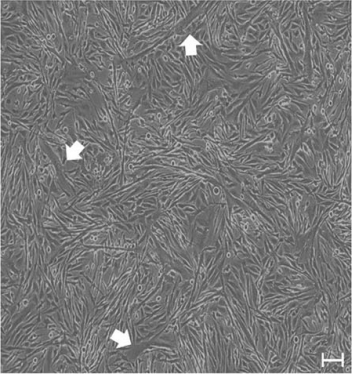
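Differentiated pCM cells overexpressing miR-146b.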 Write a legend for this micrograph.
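This is a confluent culture of muscle cells made up mostly of closely packed, spindle-shaped cells. The cells lie in aligned streams in places, and a few longer, tube-like structures stand out among them. Long curving tubes are sparse in this field.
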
